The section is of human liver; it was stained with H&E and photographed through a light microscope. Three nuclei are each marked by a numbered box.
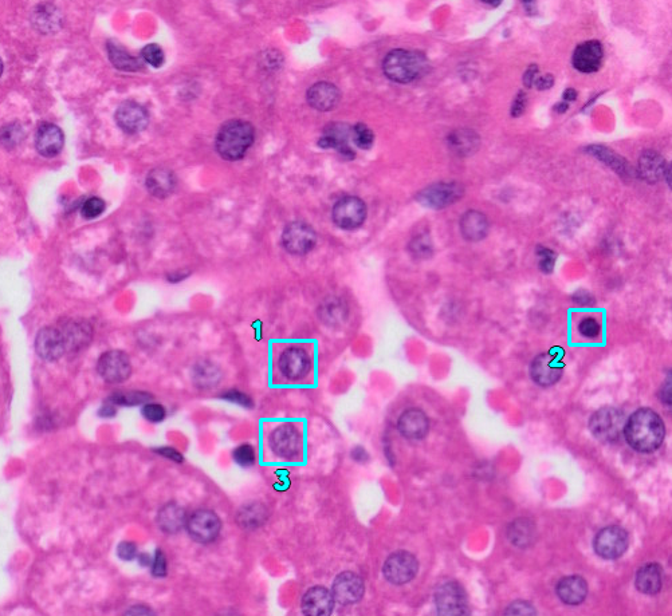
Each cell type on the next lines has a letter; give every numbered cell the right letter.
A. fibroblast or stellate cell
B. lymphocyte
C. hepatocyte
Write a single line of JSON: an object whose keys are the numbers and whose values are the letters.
{"1": "C", "2": "B", "3": "C"}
